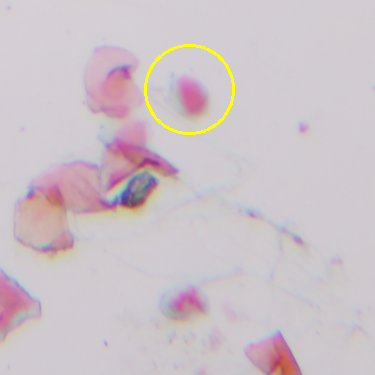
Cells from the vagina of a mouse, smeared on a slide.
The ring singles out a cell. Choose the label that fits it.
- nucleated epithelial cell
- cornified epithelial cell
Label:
nucleated epithelial cell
